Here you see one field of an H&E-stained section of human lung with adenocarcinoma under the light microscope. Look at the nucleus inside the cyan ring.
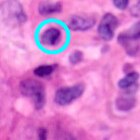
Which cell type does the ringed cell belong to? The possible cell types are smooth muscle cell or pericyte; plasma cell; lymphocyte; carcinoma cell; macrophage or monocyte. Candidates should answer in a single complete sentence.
By cell type, the ringed cell is a lymphocyte.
